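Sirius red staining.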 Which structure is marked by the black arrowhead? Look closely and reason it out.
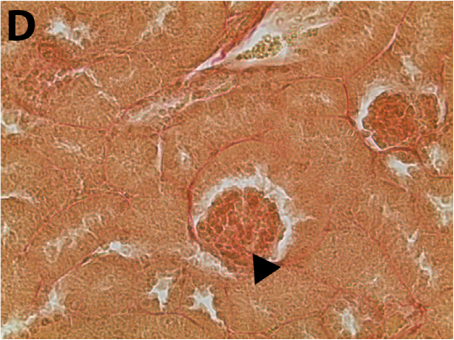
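A round, compact tuft of cells lies within a thin-walled capsule. A pale space separates the tuft from the capsule. Surrounding tissue is made of tubule cross-sections. That points to this answer: glomeruli.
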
